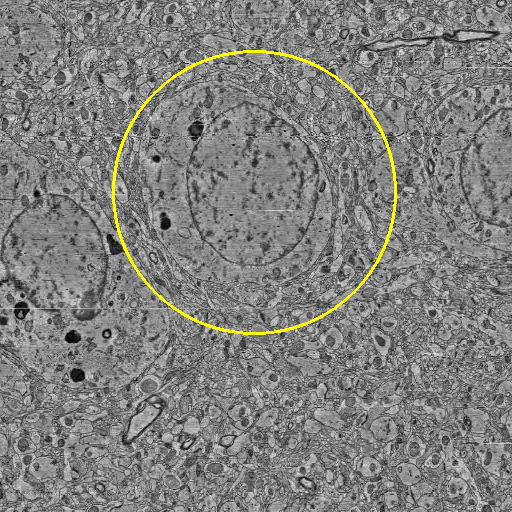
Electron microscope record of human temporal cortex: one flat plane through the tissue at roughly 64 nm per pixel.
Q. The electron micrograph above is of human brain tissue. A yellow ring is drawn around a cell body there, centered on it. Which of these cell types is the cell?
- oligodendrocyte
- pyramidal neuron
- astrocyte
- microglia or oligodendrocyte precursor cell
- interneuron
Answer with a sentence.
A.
The cell under the ring's center is a pyramidal neuron.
